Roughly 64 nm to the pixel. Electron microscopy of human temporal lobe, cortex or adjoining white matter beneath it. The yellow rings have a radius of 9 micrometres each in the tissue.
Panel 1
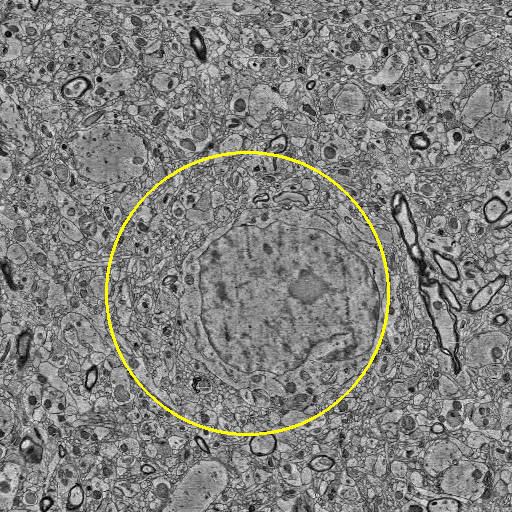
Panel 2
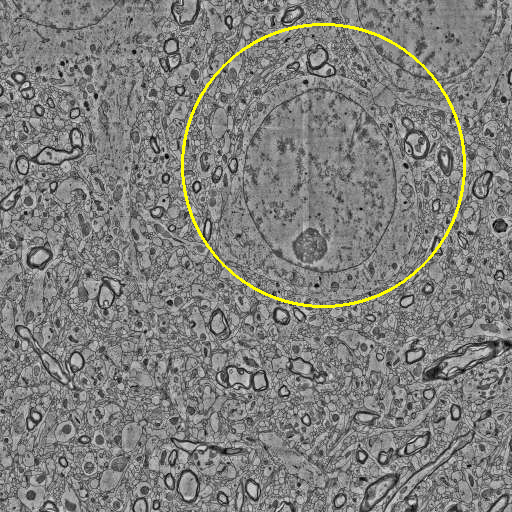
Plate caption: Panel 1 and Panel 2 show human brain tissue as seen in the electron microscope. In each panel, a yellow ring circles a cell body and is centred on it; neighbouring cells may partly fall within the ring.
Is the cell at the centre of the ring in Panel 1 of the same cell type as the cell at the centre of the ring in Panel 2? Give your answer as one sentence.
No, the two cells are of two types.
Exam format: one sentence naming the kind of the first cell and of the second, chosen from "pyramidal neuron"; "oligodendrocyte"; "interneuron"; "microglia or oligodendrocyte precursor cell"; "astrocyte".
The first picture's cell is an interneuron, and the second picture's cell is a pyramidal neuron.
